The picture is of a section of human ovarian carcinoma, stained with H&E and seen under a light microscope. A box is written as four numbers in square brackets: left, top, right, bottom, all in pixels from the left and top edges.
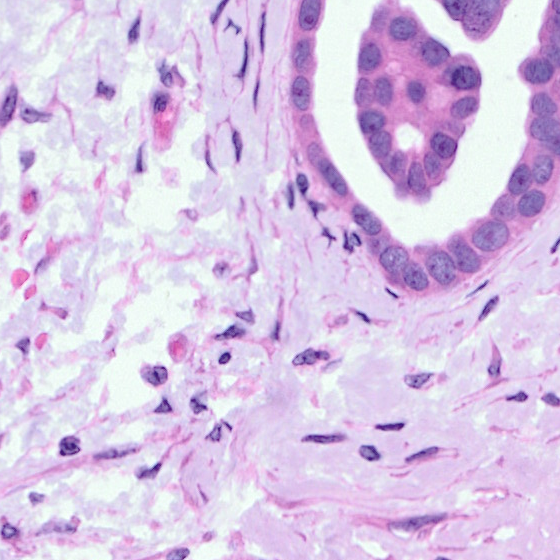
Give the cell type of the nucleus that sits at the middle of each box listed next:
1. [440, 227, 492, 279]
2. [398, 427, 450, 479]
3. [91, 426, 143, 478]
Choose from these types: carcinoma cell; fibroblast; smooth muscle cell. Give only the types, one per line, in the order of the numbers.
carcinoma cell
fibroblast
fibroblast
